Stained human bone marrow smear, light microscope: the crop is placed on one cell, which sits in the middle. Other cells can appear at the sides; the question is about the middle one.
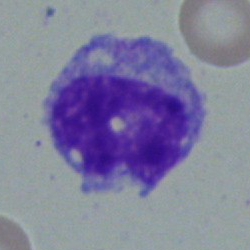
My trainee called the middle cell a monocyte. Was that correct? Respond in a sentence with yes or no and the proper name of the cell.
Yes, the cell lying in the centre of the crop is identified as a monocyte.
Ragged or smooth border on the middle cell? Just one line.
This cell does not have a smooth edge; it is ragged or extended into projections.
